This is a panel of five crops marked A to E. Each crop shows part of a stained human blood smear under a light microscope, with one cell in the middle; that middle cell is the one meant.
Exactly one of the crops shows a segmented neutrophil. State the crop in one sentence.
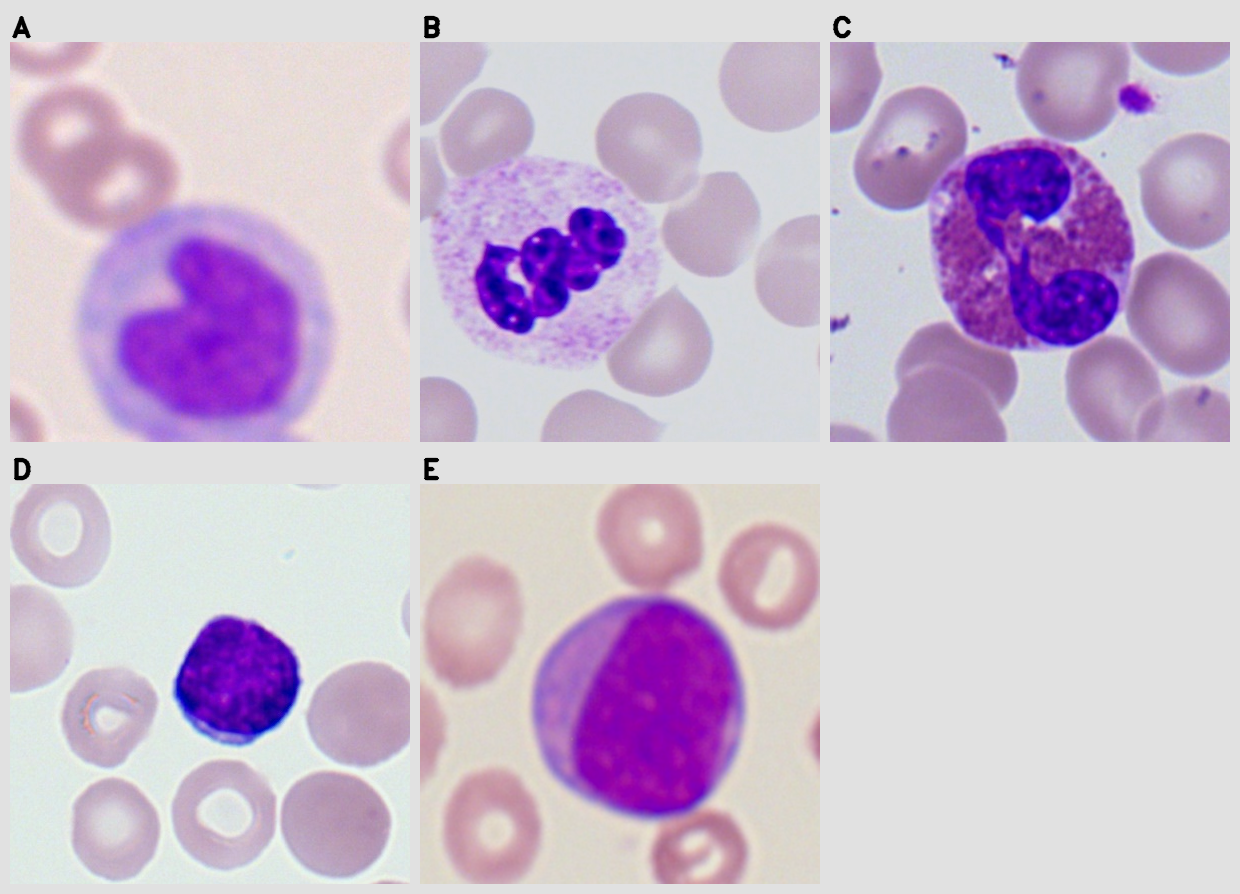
So the crop with a segmented neutrophil at its center is crop B.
